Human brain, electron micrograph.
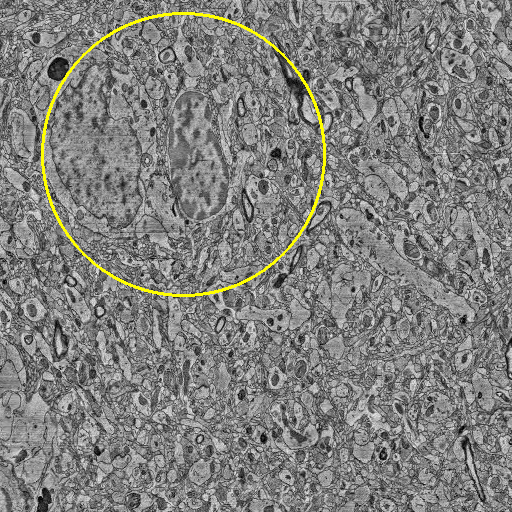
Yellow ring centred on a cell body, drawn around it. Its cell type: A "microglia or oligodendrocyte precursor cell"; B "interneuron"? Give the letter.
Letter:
A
